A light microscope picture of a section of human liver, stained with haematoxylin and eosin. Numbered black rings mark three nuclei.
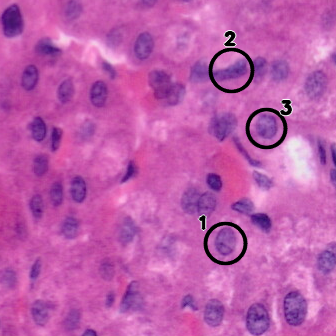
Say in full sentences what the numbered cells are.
Cell 1 is a hepatocyte, cell 2 is a fibroblast or stellate cell and cell 3 is a hepatocyte.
